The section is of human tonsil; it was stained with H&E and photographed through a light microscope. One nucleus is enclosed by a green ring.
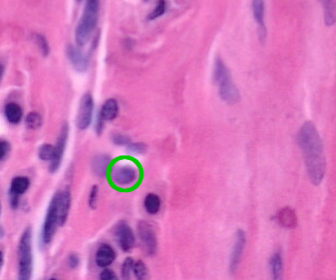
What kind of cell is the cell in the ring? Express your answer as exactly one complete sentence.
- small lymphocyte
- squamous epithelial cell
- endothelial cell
Cell type answer for this item: the cell in the ring is an endothelial cell.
